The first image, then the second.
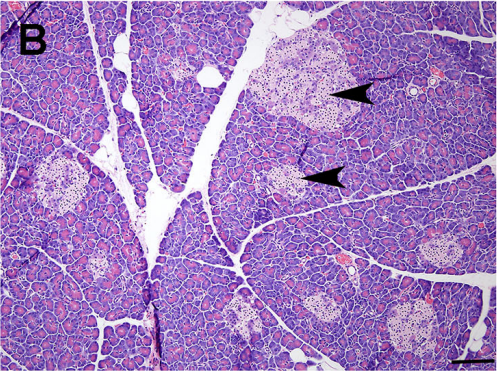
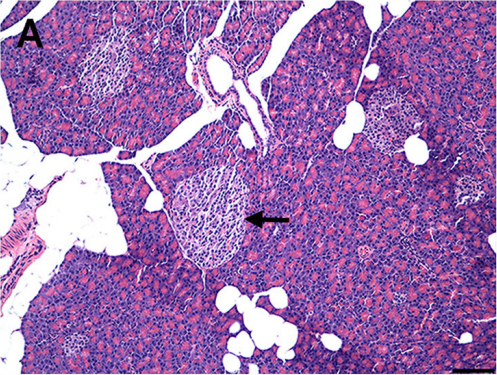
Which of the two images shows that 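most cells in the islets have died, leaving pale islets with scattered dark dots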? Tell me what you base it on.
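First image: islets are pale with many small dark dots scattered through them.
Hence: the first image.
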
